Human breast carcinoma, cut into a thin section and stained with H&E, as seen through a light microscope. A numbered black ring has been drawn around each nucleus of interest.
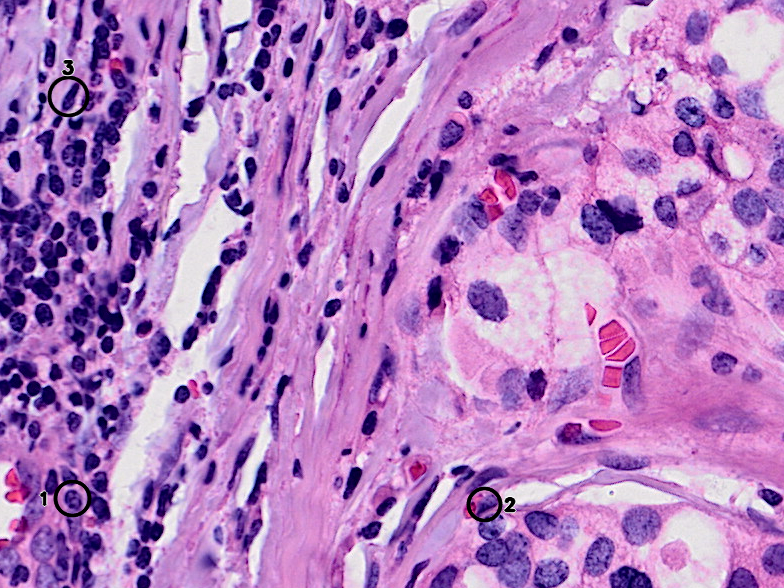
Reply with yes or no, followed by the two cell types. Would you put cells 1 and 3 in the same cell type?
Yes, both are lymphocytes.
